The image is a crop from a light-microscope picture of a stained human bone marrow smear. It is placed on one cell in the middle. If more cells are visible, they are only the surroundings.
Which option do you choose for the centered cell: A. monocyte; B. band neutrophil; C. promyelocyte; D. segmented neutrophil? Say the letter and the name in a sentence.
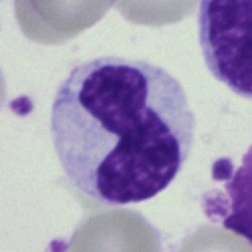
The cell centred in the crop is a band neutrophil, and the correct option is thus B.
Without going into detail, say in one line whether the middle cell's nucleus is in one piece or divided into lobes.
Two or more lobes make up the nucleus of this cell.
